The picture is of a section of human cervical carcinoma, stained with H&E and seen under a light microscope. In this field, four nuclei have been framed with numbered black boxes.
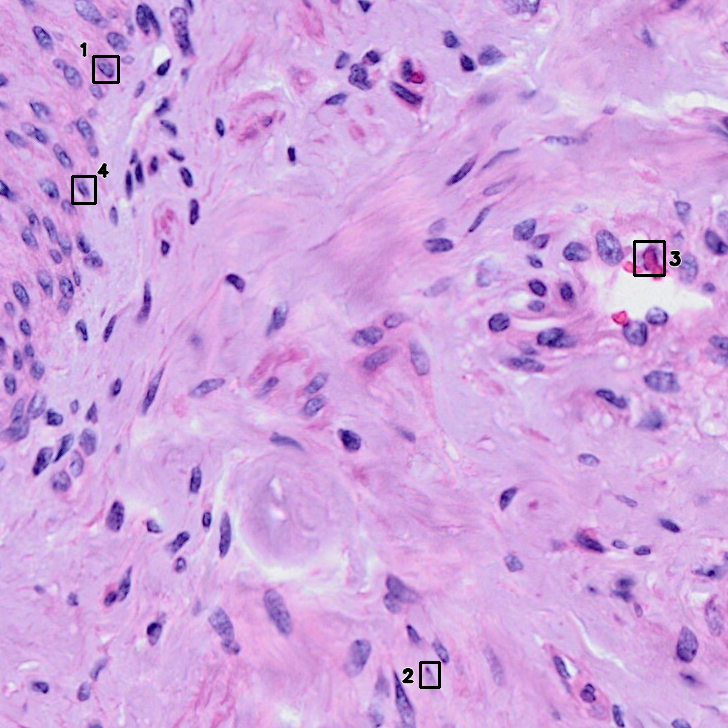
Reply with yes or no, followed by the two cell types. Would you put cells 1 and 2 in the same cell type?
Yes, both are smooth muscle cells.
